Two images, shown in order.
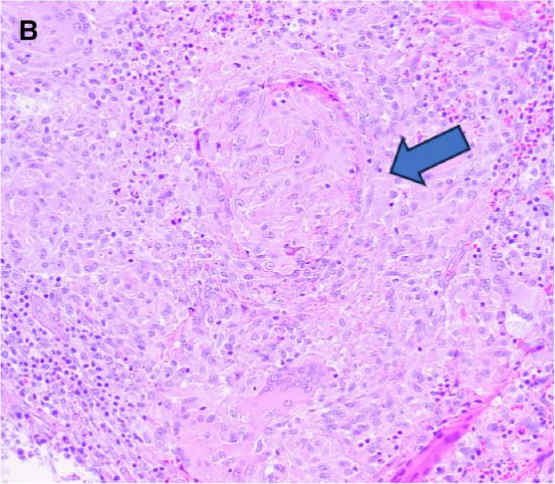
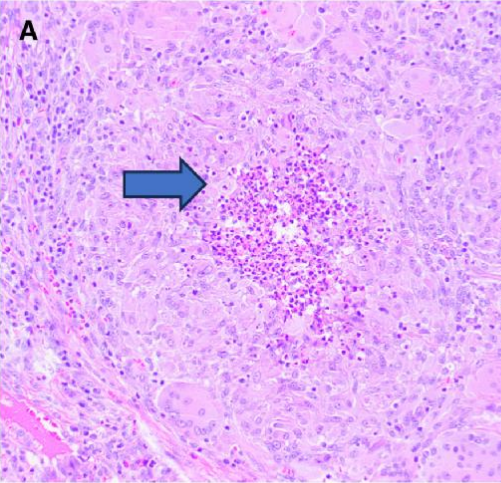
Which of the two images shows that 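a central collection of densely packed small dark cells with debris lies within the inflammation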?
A: The second image.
